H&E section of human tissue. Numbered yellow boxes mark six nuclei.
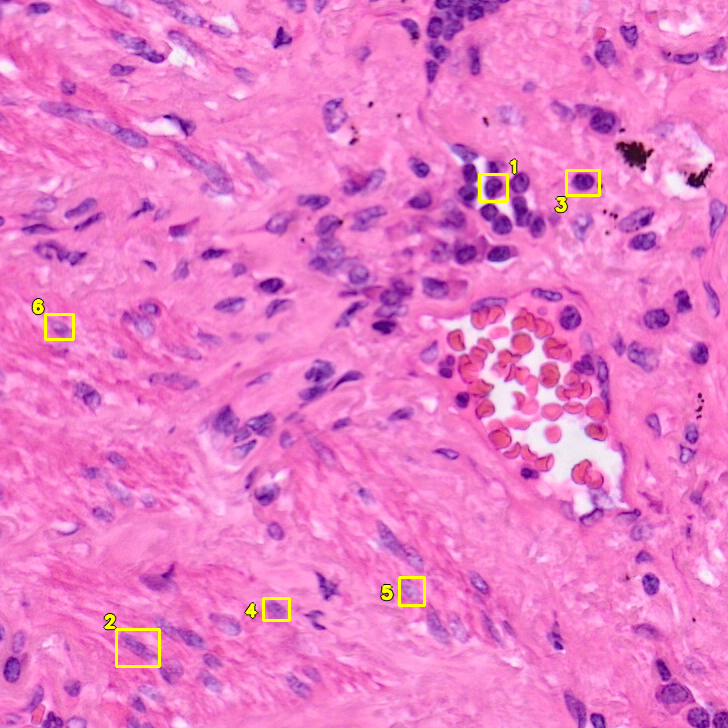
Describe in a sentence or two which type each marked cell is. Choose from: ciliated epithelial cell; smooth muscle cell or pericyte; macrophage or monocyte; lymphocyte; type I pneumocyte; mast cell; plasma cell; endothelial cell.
Cell 1 is a lymphocyte, cell 2 is a smooth muscle cell or pericyte, cell 3 is a lymphocyte, cell 4 is a smooth muscle cell or pericyte, cell 5 is a smooth muscle cell or pericyte and cell 6 is a smooth muscle cell or pericyte.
